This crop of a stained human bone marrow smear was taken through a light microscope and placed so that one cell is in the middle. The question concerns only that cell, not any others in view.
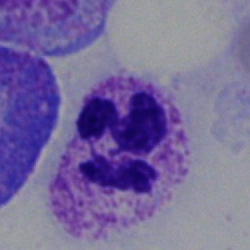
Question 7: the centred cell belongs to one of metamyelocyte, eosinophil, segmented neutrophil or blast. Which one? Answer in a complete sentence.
The cell featured at the centre of this crop is a segmented neutrophil.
